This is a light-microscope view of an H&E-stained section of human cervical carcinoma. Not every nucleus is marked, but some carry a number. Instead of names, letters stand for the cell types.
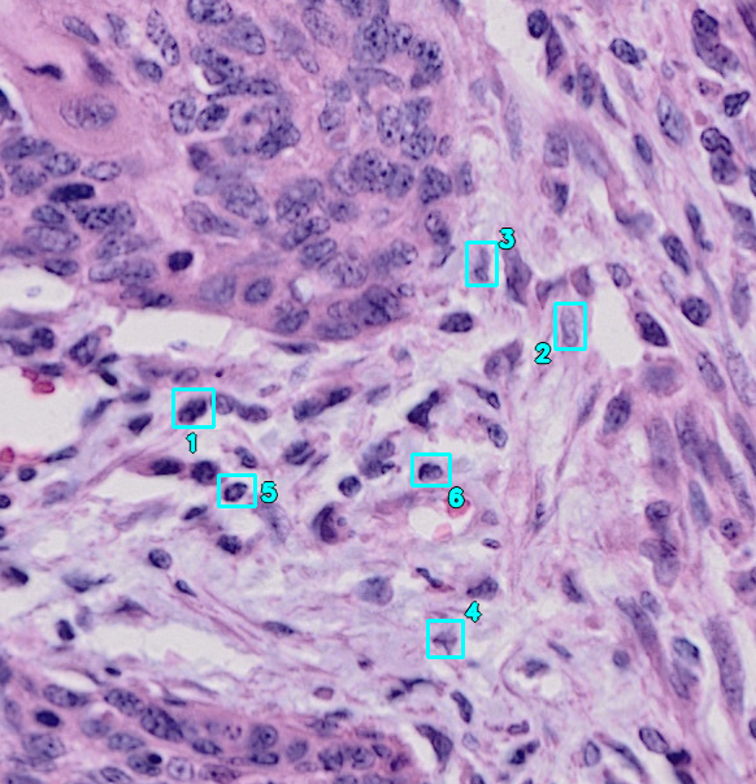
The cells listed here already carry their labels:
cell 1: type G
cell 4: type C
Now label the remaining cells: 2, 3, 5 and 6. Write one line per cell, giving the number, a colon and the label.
2: type C
3: type C
5: type G
6: type G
